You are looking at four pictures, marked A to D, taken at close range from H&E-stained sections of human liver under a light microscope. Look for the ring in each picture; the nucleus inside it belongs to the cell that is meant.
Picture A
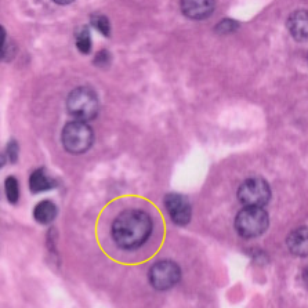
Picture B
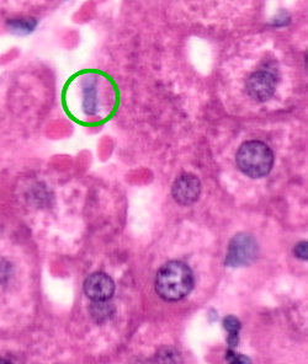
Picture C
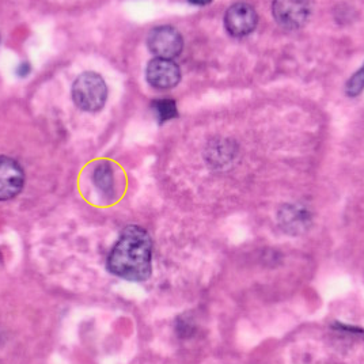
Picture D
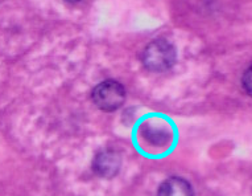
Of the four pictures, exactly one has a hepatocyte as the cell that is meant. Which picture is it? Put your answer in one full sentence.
It is picture A that shows the hepatocyte.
